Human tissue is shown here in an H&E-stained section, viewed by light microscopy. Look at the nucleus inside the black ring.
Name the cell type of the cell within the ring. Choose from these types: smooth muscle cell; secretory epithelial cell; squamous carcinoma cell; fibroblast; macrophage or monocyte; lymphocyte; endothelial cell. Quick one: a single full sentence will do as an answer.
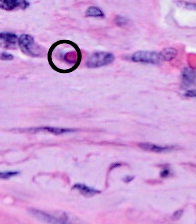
Placed in its cell category, the cell within the ring is an endothelial cell.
